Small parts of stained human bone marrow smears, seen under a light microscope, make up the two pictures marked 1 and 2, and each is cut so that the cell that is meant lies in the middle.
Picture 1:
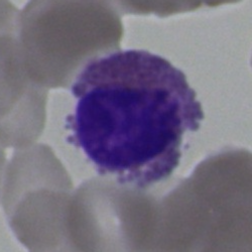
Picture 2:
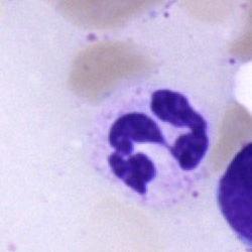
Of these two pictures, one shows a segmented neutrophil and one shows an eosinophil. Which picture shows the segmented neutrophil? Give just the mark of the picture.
2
